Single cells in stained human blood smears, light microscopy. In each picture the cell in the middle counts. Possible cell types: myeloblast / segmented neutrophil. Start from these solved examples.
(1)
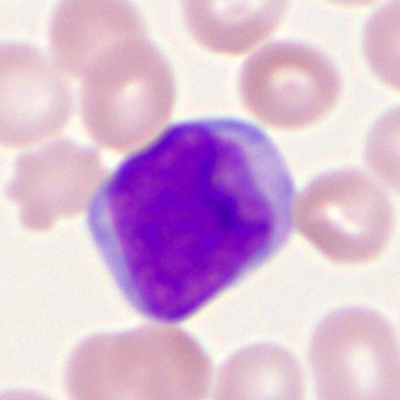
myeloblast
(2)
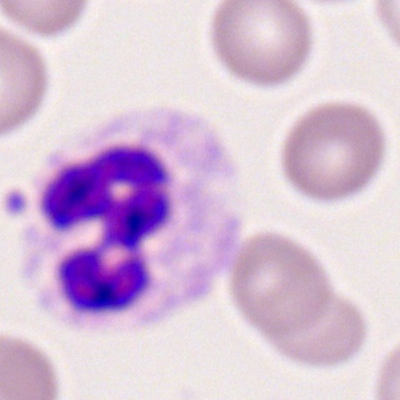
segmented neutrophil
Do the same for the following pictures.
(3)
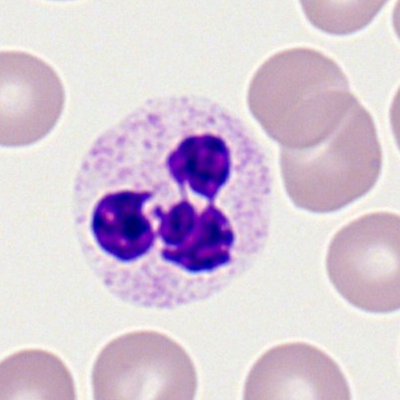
segmented neutrophil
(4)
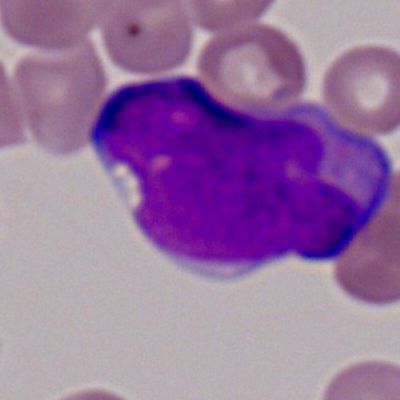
myeloblast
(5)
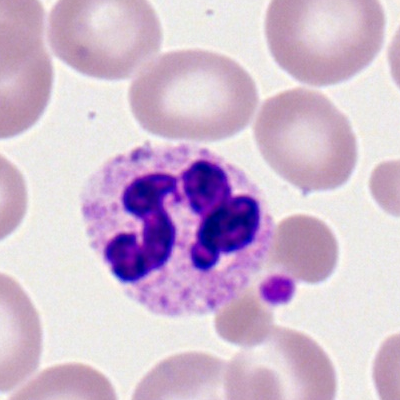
segmented neutrophil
